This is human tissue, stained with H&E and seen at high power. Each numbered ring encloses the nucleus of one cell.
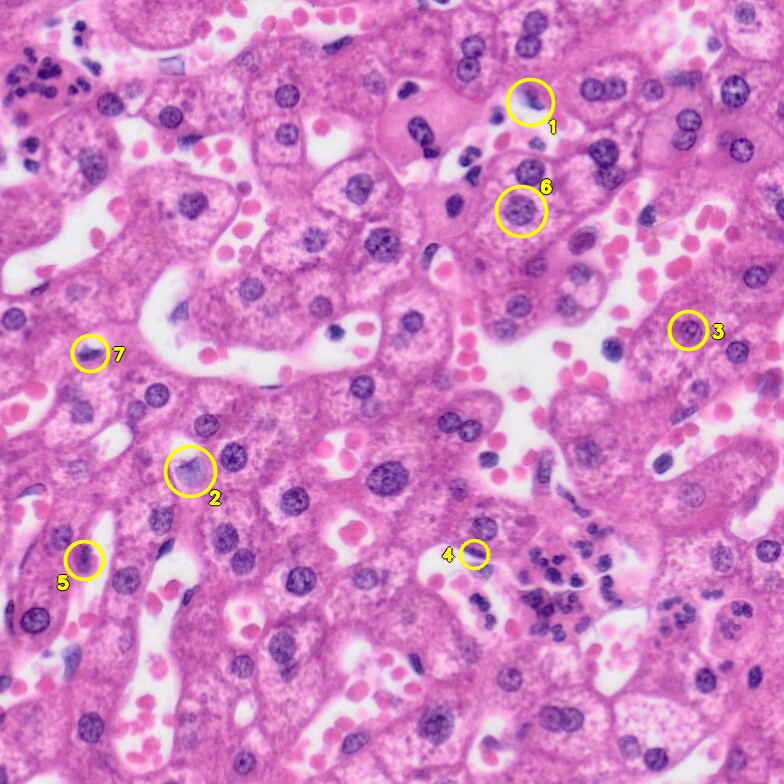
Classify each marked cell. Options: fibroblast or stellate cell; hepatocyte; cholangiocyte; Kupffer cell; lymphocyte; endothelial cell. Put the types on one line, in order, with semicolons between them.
endothelial cell; endothelial cell; hepatocyte; fibroblast or stellate cell; Kupffer cell; hepatocyte; endothelial cell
